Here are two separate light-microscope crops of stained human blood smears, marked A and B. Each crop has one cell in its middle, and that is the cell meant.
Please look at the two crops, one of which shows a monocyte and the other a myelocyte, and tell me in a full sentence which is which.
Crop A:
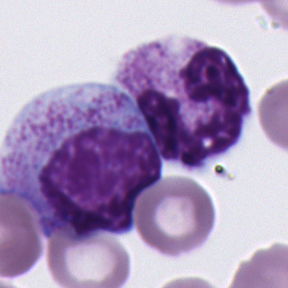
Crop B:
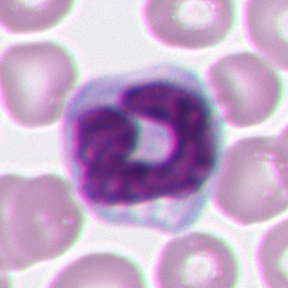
Crop A corresponds to a myelocyte, and crop B corresponds to a monocyte.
